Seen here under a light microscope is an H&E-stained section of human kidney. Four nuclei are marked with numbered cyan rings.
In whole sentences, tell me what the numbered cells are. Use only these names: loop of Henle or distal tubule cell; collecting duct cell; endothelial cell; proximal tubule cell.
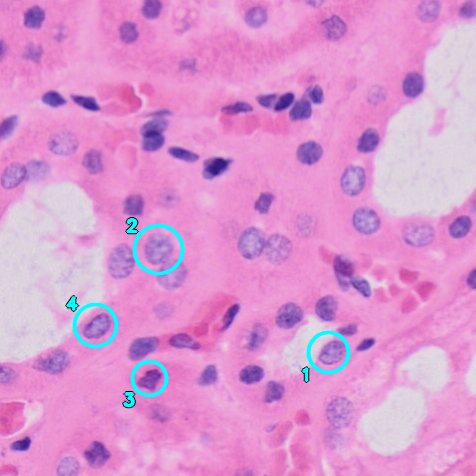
Cell 1 is a loop of Henle or distal tubule cell, cell 2 is a loop of Henle or distal tubule cell, cell 3 is a proximal tubule cell and cell 4 is a loop of Henle or distal tubule cell.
